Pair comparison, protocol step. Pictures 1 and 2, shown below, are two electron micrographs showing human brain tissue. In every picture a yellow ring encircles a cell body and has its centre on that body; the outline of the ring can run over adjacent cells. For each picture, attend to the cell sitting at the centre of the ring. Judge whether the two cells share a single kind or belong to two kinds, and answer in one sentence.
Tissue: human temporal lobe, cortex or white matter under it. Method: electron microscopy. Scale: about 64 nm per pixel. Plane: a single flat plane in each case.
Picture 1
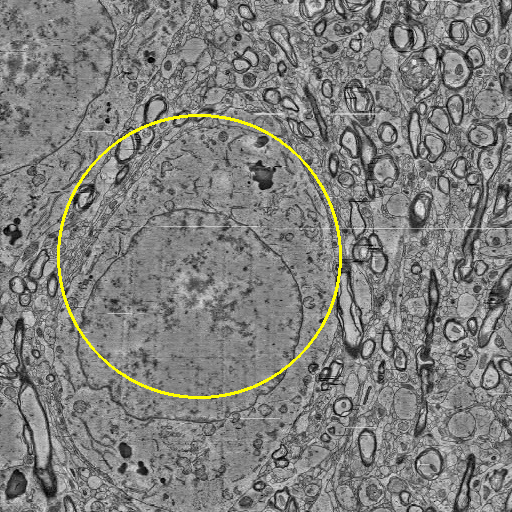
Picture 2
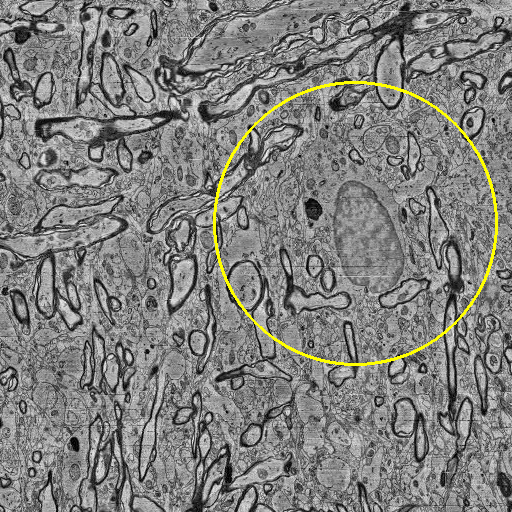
The two cells at the ring centres in Picture 1 and Picture 2 belong to two kinds.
